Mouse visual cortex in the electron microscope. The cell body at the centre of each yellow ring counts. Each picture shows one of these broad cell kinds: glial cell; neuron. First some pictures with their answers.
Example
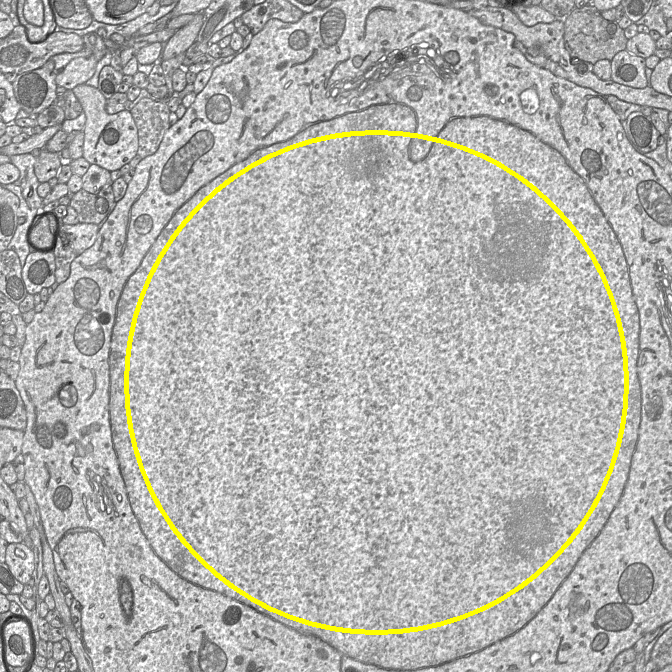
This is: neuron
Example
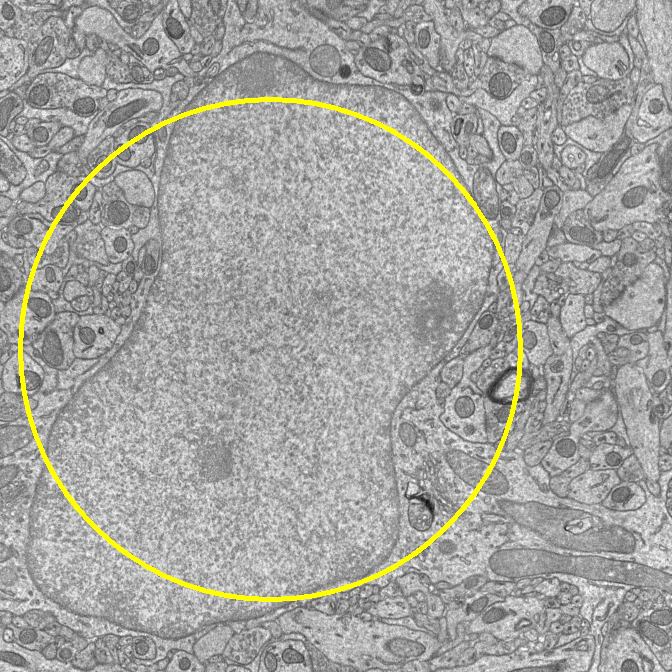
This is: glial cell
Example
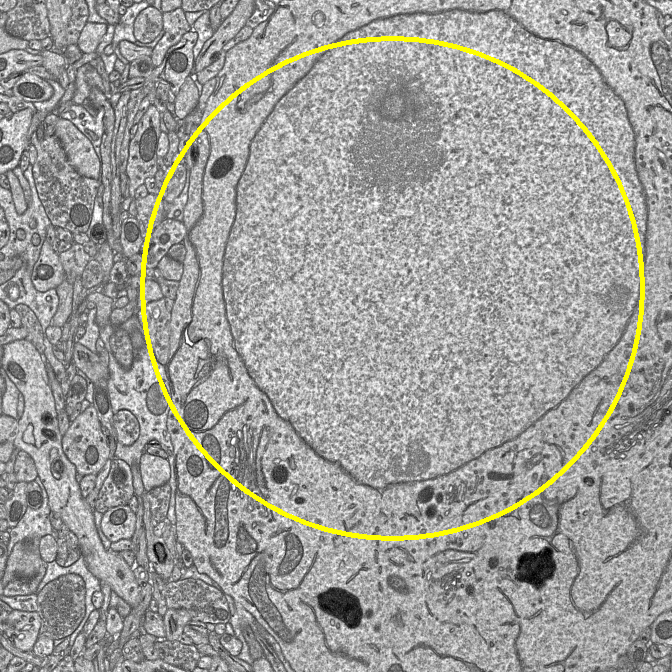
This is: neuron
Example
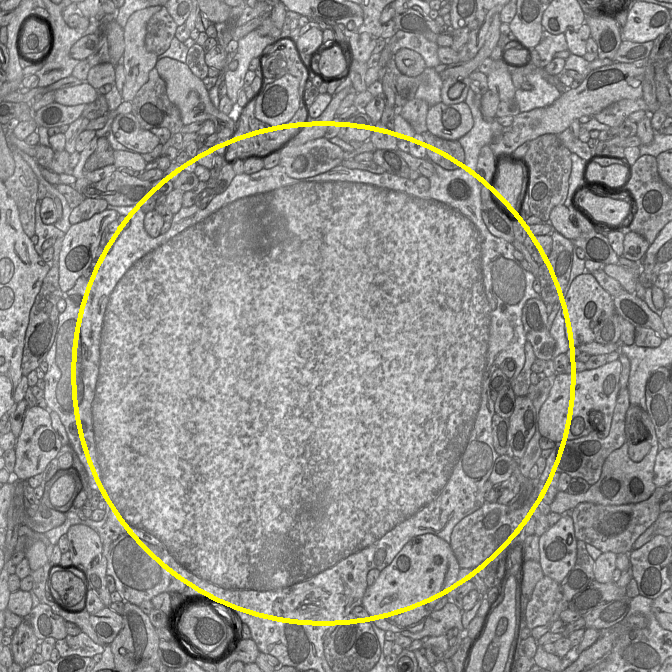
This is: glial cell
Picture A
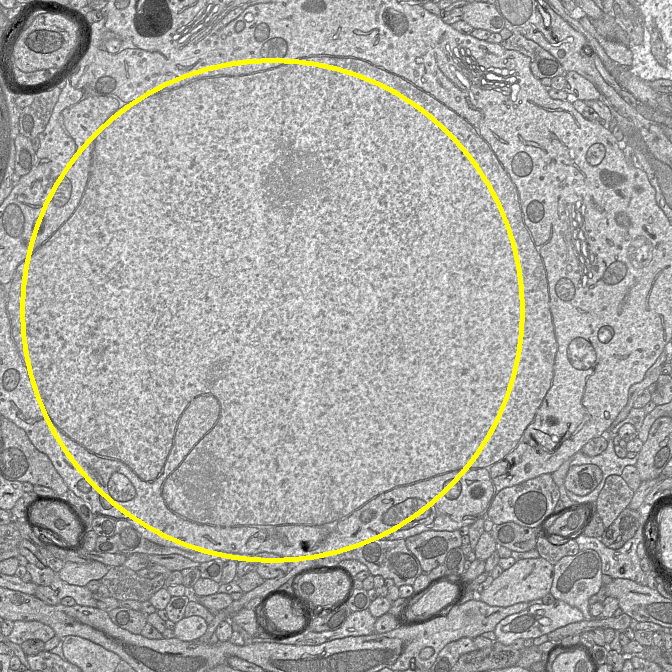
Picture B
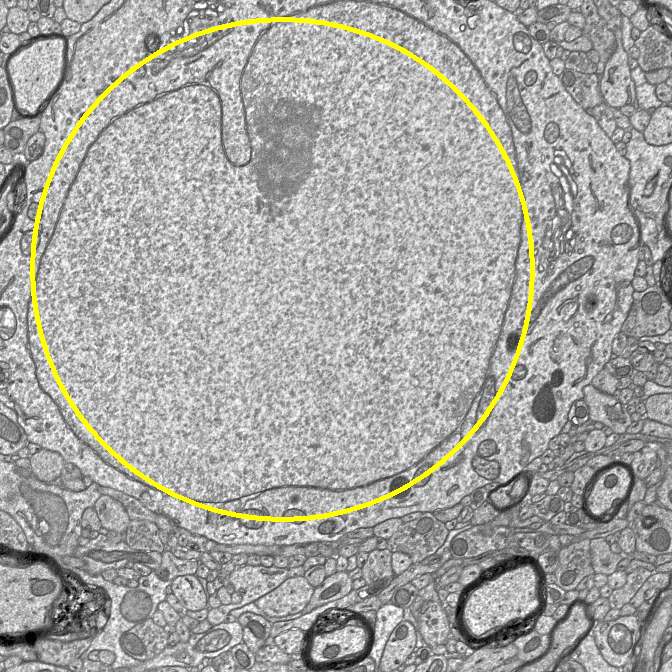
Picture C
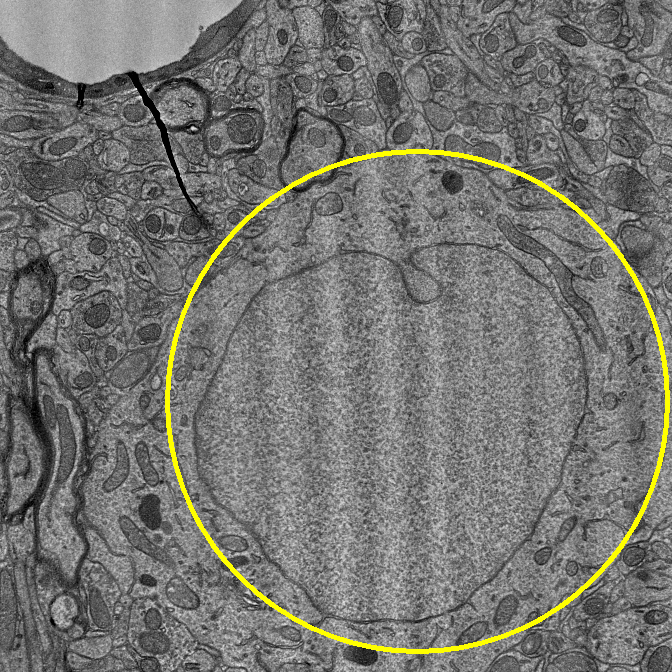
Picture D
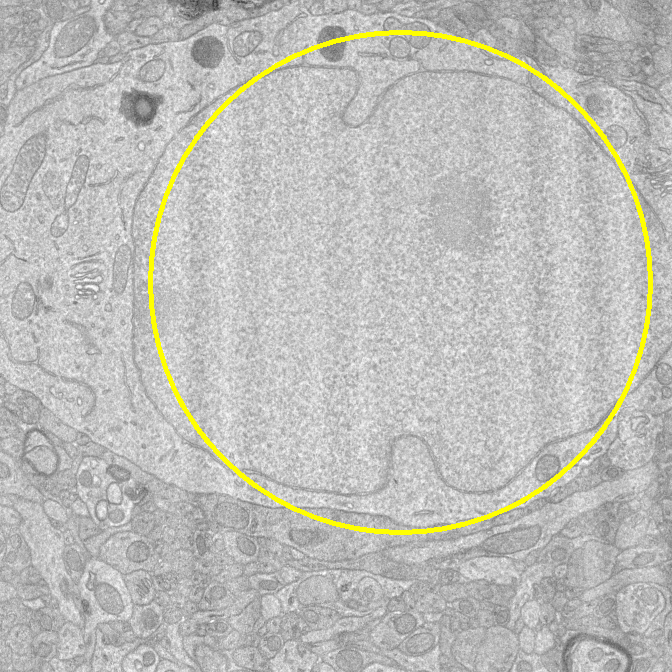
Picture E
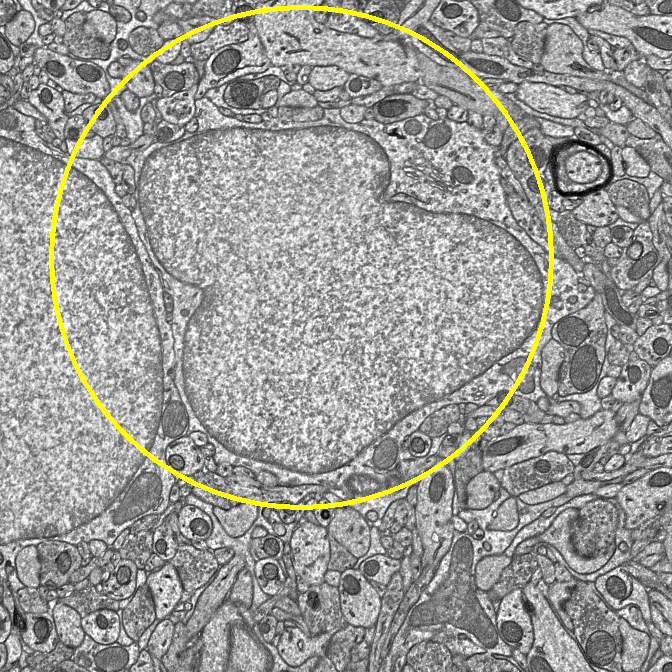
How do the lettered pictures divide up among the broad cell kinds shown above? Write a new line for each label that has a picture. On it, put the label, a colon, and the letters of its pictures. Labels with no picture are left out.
glial cell: E
neuron: A, B, C, D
